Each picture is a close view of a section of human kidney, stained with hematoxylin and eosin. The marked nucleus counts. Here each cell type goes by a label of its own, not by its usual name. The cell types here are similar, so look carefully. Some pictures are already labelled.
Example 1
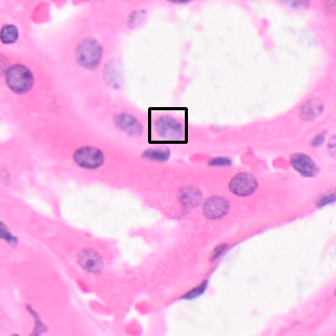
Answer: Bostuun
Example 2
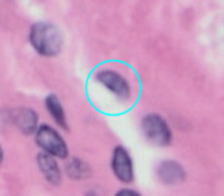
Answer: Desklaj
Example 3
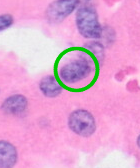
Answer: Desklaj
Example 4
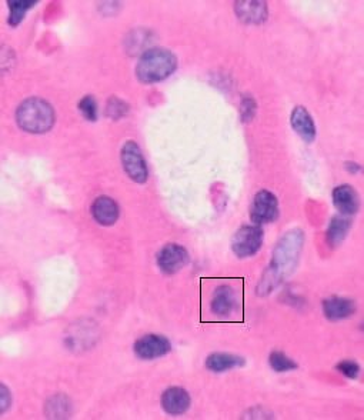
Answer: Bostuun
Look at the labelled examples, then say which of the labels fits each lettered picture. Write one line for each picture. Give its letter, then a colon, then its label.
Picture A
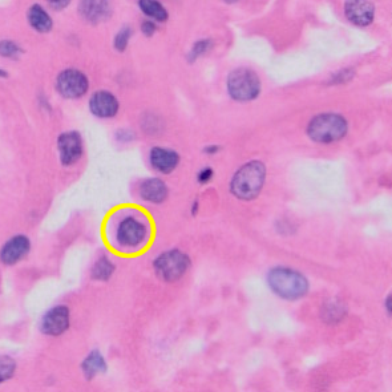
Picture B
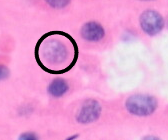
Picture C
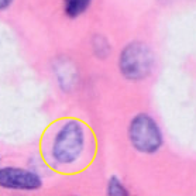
A: Bostuun
B: Bostuun
C: Desklaj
